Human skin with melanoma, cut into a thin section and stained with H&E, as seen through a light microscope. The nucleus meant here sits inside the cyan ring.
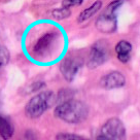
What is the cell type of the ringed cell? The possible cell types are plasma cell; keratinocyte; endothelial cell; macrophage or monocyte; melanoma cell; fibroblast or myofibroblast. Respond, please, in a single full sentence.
The expected answer is simply that the ringed cell is a melanoma cell.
